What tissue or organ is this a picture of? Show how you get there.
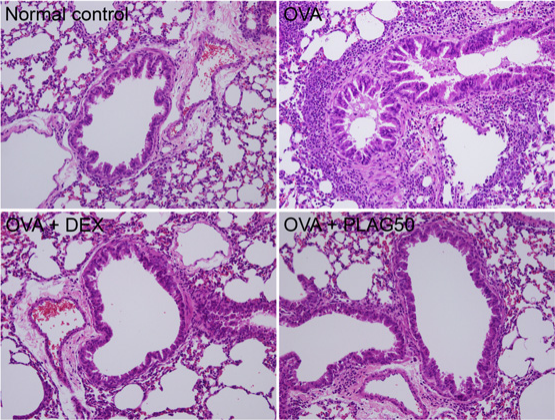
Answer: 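Airways lined by a folded epithelium sit in the centre of the images. Thin-walled air spaces surround the airways. Small blood vessels lie beside the airways. So: lung tissues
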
